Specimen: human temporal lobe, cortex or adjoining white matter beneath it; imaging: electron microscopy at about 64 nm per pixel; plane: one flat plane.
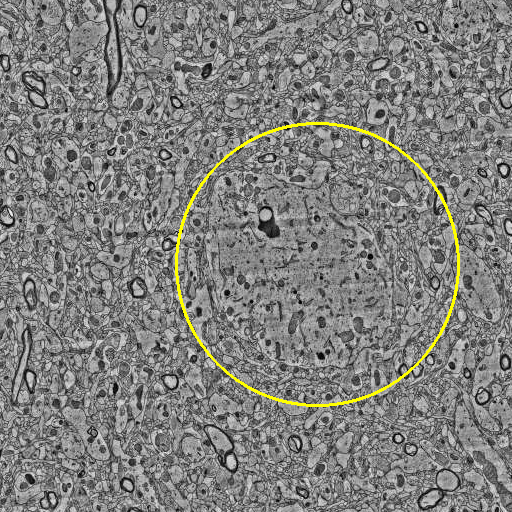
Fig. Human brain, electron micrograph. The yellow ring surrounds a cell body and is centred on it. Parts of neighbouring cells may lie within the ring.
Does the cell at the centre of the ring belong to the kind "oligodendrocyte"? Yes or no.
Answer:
no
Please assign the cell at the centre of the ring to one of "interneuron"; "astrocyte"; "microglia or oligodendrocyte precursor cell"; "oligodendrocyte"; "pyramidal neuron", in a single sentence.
The ring's central cell is a pyramidal neuron instead.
